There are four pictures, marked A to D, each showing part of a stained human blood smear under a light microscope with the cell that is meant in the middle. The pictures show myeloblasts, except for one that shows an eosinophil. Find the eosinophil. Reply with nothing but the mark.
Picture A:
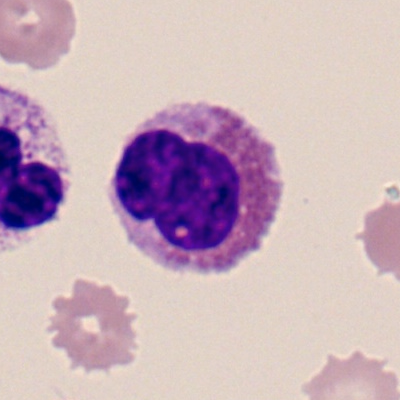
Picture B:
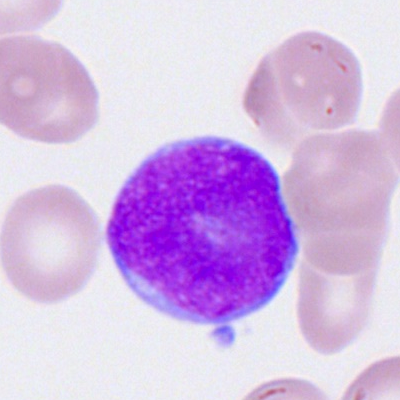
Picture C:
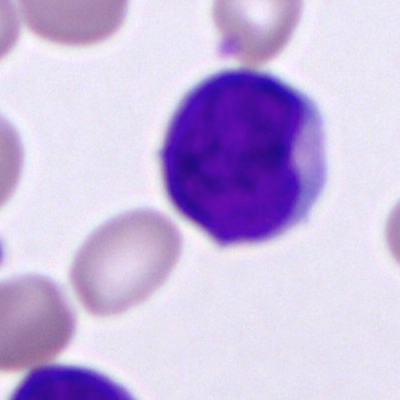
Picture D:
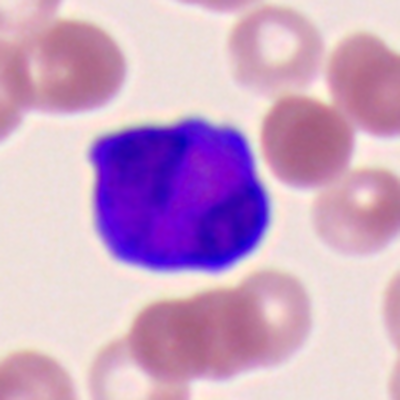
A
